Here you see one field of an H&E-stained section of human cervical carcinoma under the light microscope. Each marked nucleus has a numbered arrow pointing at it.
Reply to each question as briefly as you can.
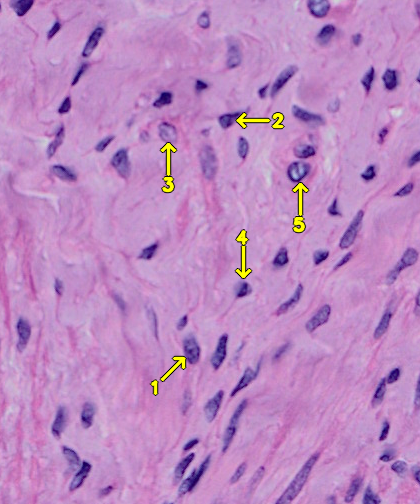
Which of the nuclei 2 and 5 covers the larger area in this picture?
5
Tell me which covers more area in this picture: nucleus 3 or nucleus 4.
3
